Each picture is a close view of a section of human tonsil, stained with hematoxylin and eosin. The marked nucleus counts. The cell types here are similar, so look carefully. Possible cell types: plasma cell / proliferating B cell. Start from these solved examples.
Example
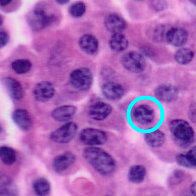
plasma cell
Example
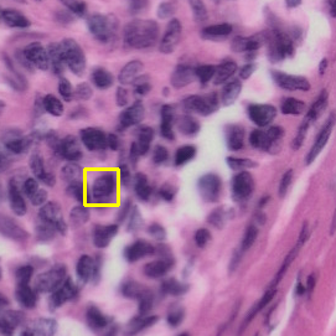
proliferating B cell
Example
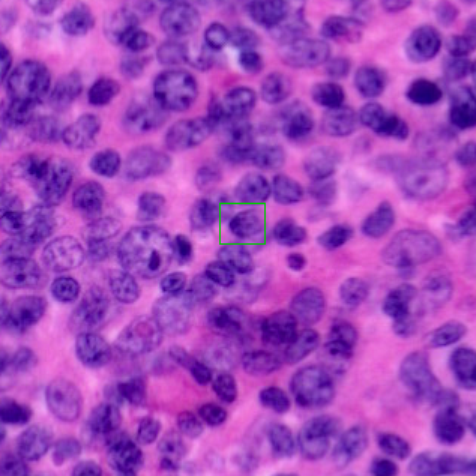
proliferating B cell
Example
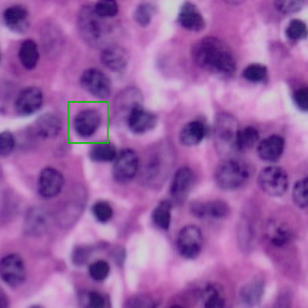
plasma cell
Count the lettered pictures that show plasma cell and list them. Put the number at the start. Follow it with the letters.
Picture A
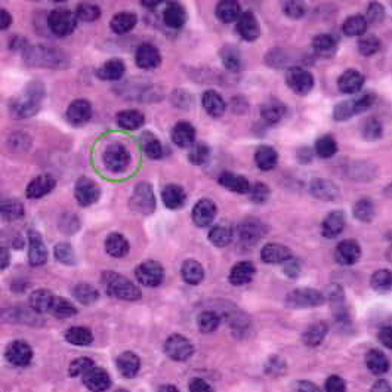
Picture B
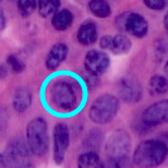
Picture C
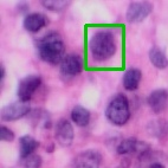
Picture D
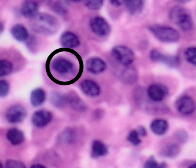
3: A, B, D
